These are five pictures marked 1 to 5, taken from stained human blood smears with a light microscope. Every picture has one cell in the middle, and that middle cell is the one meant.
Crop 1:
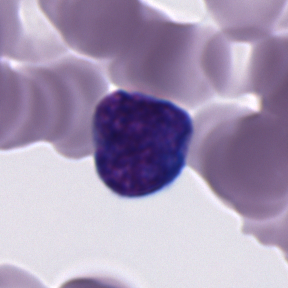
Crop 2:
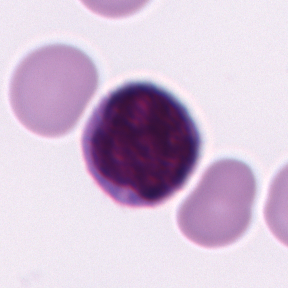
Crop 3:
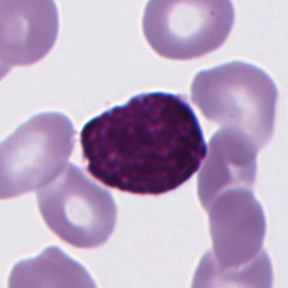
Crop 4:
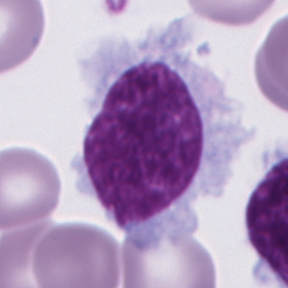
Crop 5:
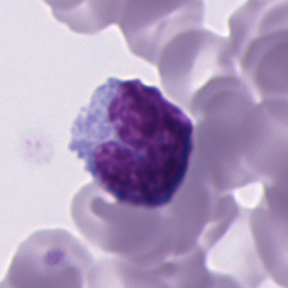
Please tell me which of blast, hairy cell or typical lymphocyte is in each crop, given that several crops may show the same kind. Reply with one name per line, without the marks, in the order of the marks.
typical lymphocyte
typical lymphocyte
blast
hairy cell
typical lymphocyte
